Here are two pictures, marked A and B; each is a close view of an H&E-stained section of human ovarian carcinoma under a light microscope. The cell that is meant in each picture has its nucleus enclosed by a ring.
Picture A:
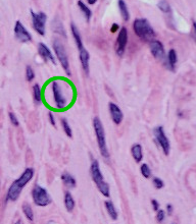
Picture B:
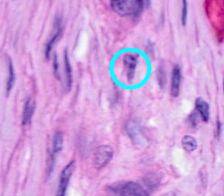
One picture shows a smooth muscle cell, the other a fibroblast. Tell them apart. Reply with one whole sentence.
Picture A is of a smooth muscle cell, and picture B is of a fibroblast.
